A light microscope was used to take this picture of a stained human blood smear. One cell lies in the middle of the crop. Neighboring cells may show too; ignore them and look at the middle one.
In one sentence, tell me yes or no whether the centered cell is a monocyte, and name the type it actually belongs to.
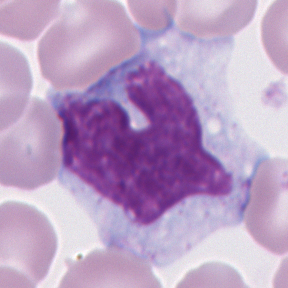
Yes, this is a monocyte, the cell in the middle of the crop.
